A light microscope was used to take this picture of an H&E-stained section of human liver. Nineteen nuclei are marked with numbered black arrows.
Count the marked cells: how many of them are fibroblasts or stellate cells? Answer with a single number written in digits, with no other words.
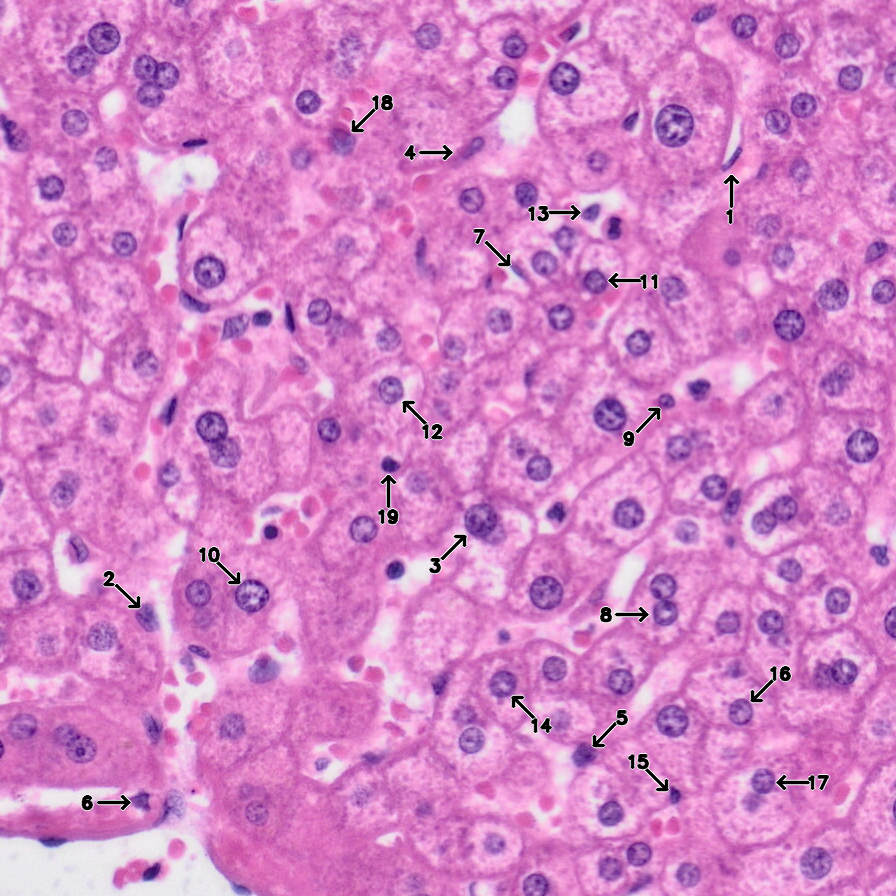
2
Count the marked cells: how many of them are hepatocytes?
8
